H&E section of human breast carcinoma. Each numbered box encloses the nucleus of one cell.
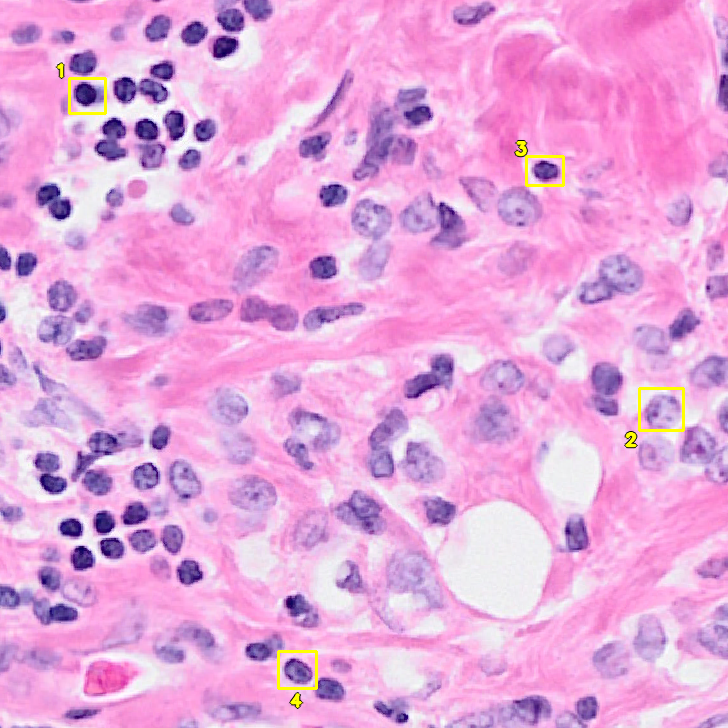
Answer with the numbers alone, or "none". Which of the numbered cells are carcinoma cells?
2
